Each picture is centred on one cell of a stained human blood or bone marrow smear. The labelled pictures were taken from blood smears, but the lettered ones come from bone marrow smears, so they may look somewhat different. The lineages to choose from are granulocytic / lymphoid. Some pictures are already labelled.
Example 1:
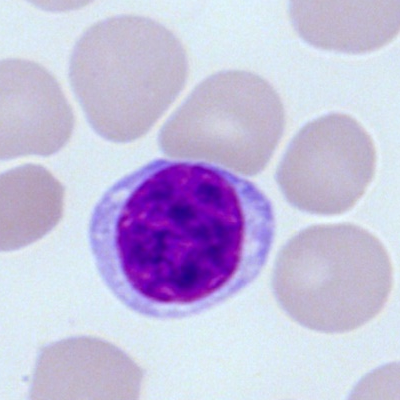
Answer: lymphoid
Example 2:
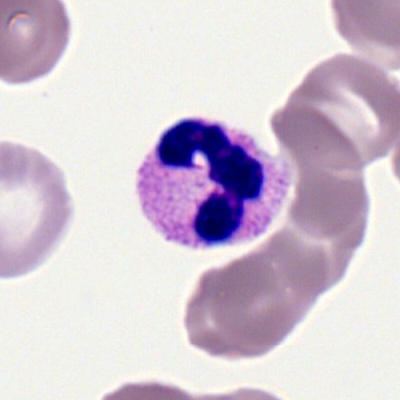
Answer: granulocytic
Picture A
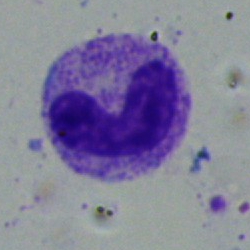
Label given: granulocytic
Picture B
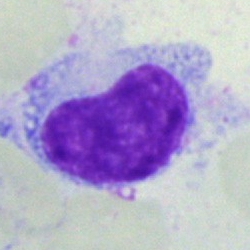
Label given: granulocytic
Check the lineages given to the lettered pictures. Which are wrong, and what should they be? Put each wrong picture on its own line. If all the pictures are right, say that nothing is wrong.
B: not granulocytic but lymphoid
